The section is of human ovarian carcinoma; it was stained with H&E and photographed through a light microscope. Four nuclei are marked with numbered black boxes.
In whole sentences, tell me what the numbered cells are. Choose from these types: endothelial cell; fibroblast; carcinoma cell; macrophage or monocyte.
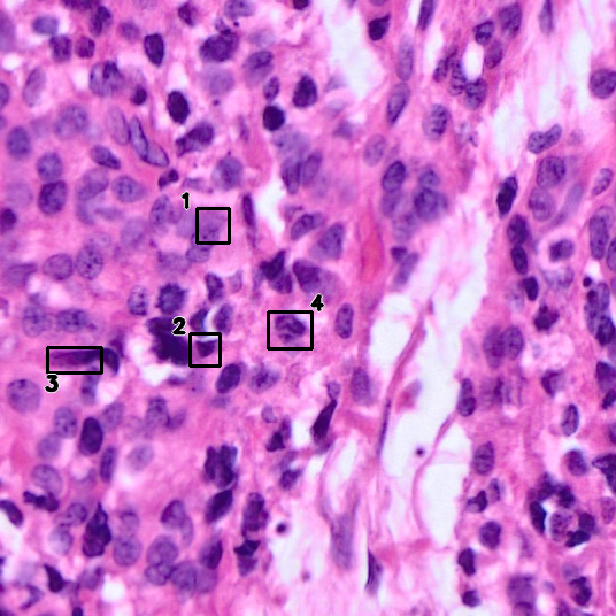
Cell 1 is a carcinoma cell, cell 2 is a carcinoma cell, cell 3 is a carcinoma cell and cell 4 is a macrophage or monocyte.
